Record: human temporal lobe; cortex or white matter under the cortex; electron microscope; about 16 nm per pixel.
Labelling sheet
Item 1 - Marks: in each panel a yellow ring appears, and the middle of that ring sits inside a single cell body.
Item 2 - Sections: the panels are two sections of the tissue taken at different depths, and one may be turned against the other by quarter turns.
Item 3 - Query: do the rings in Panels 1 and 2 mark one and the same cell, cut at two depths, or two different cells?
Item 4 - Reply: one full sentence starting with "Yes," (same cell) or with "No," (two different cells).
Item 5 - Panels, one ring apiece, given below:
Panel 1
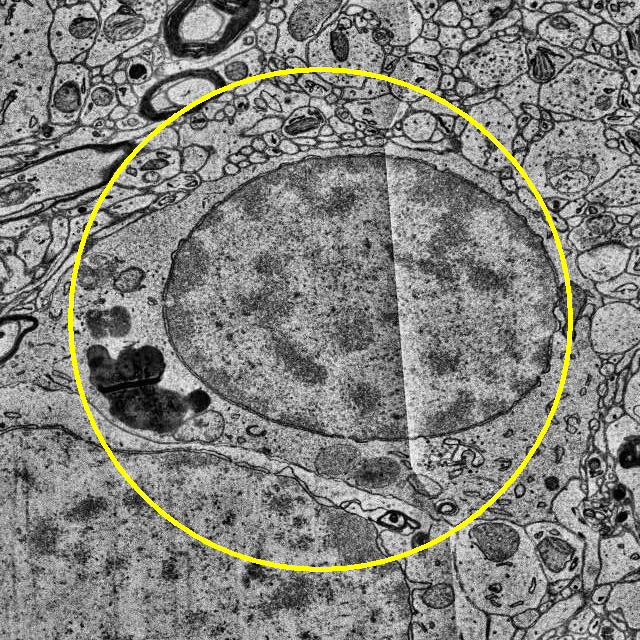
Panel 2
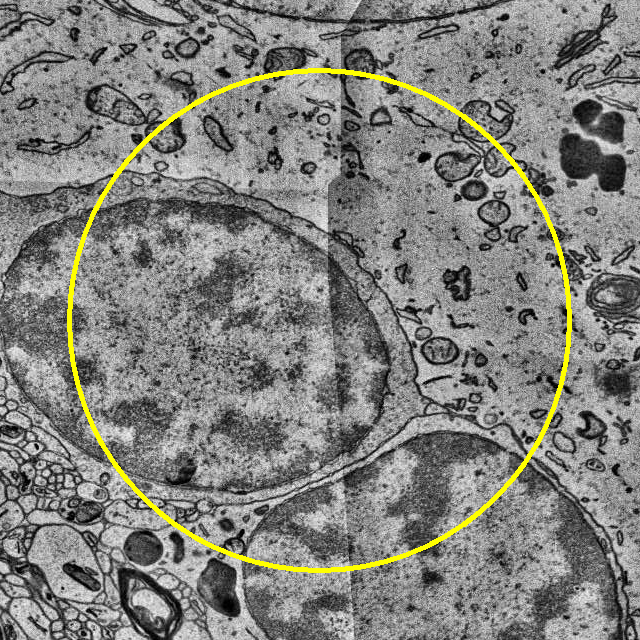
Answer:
No, each yellow ring marks its own cell.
